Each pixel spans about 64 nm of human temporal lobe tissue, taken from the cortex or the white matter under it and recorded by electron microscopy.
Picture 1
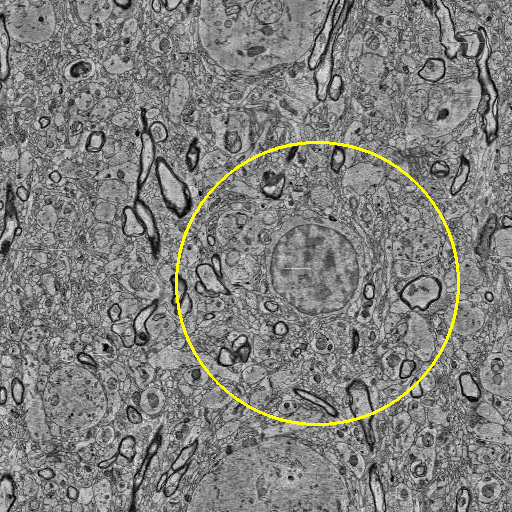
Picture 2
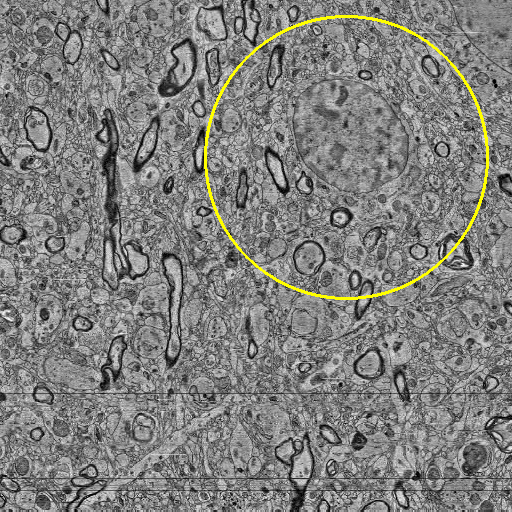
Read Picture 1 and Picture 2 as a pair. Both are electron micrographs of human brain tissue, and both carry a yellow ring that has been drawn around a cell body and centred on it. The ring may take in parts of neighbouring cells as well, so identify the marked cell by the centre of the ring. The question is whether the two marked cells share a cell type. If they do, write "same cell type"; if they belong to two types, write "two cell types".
same cell type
